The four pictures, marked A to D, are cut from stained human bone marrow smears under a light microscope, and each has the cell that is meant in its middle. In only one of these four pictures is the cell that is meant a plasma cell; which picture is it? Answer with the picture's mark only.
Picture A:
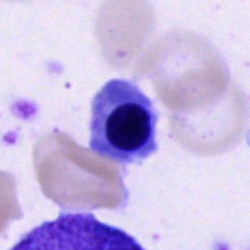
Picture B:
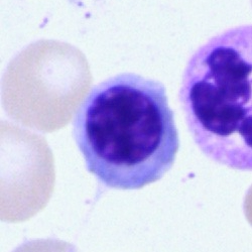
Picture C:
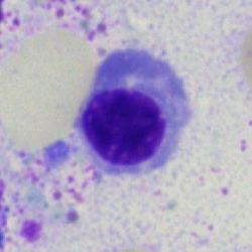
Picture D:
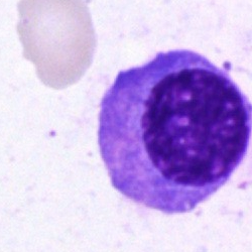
D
